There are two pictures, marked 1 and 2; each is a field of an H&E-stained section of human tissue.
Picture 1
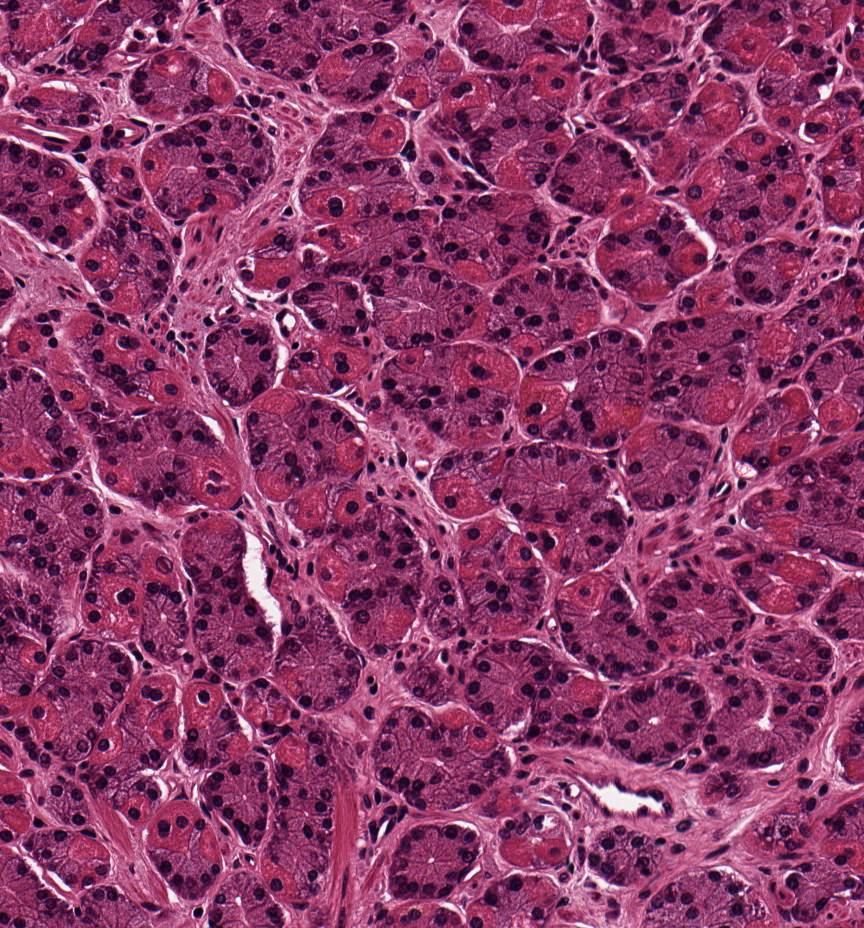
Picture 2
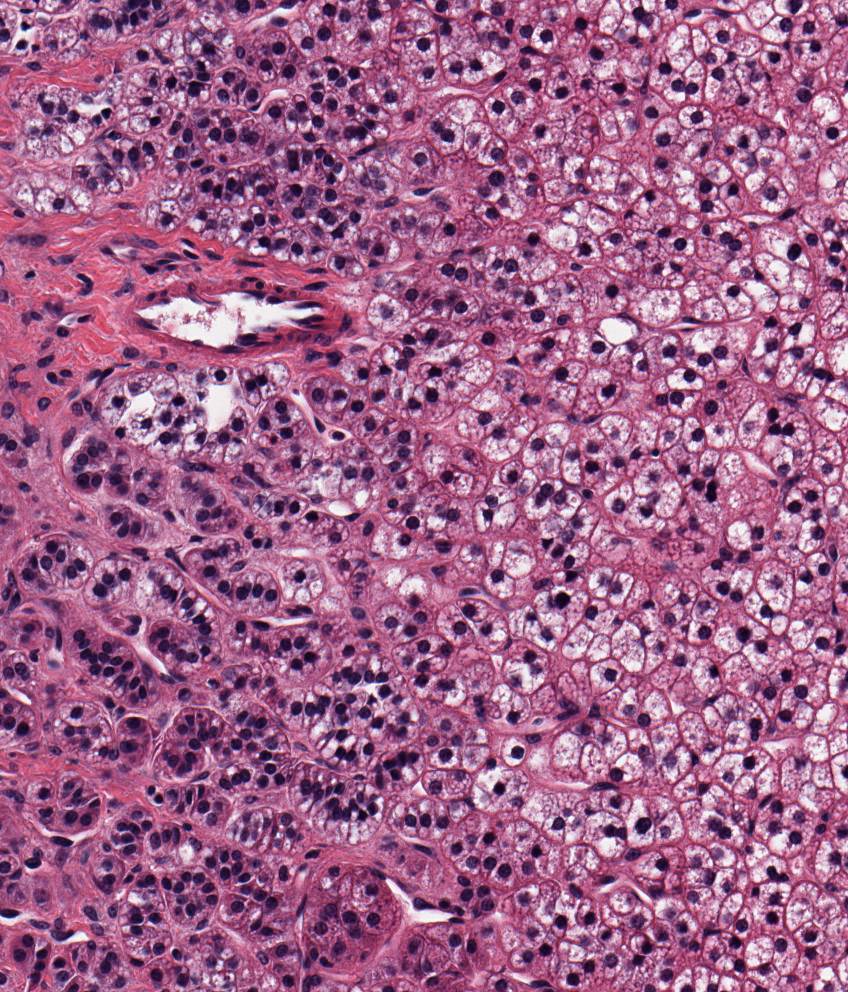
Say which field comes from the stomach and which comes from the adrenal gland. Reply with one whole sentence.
Picture 1 comes from the stomach; picture 2 comes from the adrenal gland.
